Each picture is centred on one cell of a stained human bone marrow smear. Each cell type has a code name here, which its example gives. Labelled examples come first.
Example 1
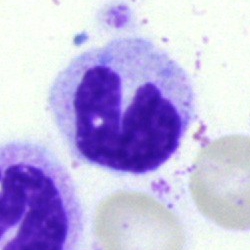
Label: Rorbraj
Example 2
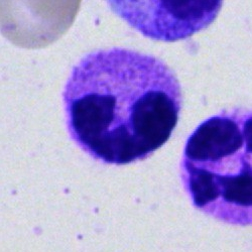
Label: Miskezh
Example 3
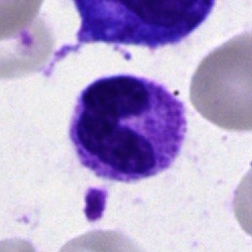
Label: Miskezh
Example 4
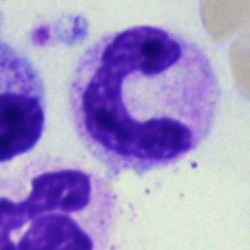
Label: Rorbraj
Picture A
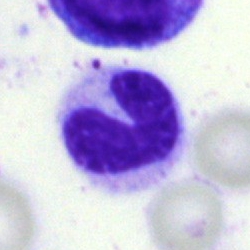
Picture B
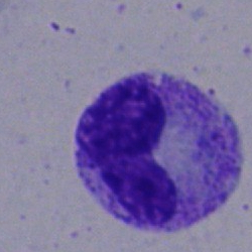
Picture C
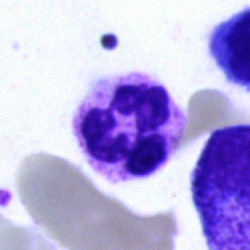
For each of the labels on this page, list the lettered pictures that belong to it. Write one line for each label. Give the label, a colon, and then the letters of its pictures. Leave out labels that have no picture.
Rorbraj: A, B
Miskezh: C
